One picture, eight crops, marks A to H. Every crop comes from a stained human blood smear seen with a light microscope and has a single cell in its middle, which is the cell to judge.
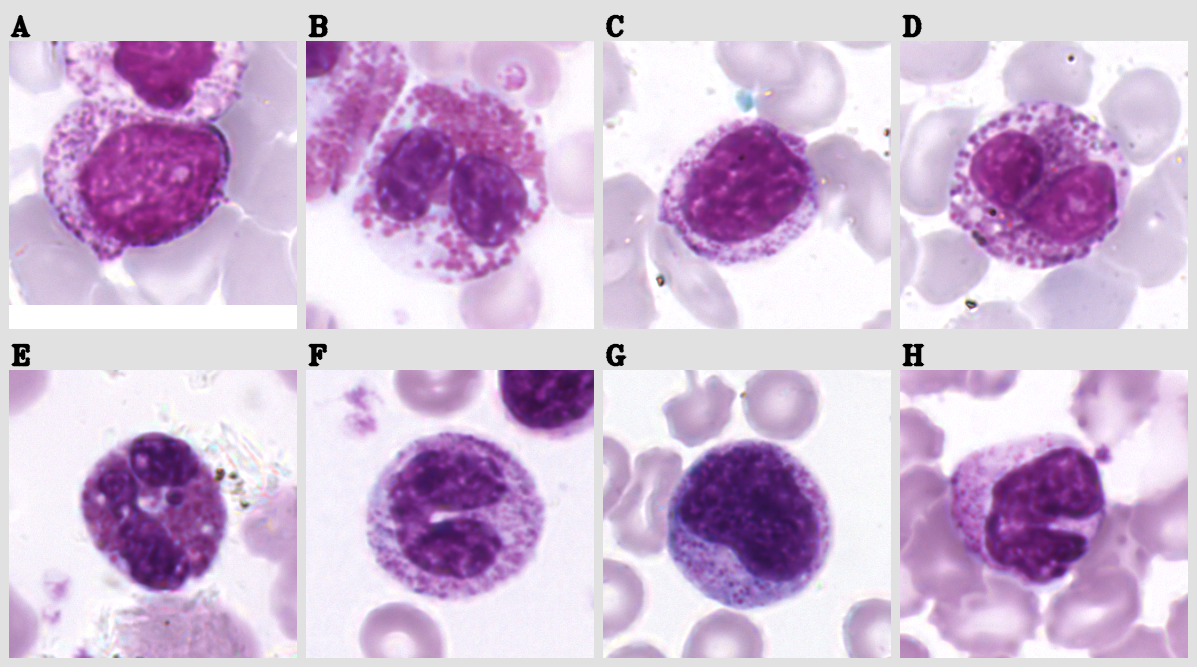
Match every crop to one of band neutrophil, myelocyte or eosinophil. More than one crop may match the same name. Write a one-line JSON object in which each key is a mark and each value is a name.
{"A": "myelocyte", "B": "eosinophil", "C": "myelocyte", "D": "eosinophil", "E": "eosinophil", "F": "band neutrophil", "G": "myelocyte", "H": "band neutrophil"}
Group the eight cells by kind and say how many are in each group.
myelocyte: 3
eosinophil: 3
band neutrophil: 2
